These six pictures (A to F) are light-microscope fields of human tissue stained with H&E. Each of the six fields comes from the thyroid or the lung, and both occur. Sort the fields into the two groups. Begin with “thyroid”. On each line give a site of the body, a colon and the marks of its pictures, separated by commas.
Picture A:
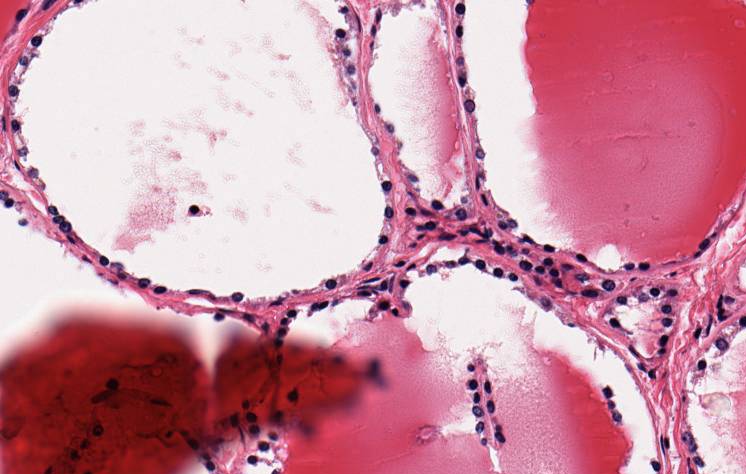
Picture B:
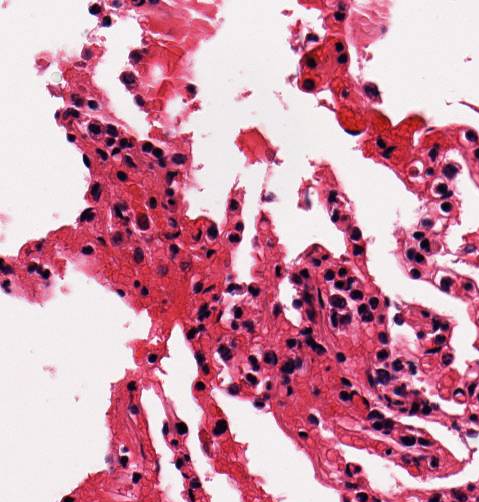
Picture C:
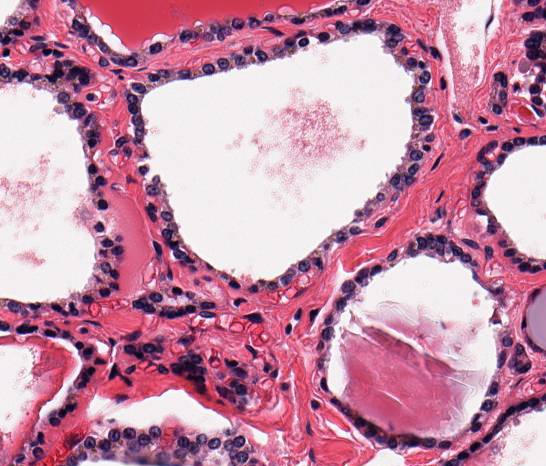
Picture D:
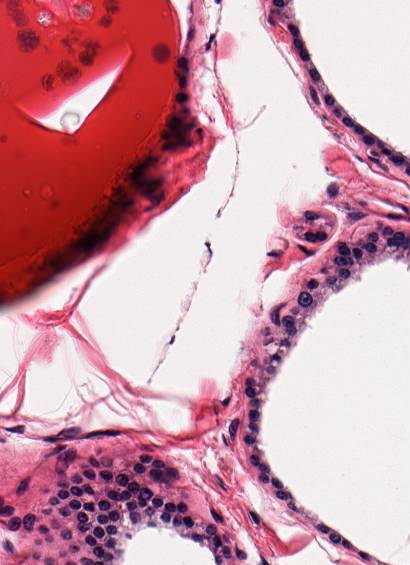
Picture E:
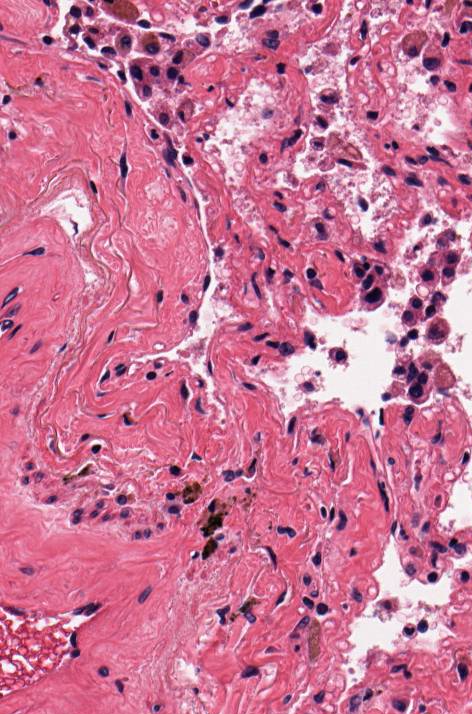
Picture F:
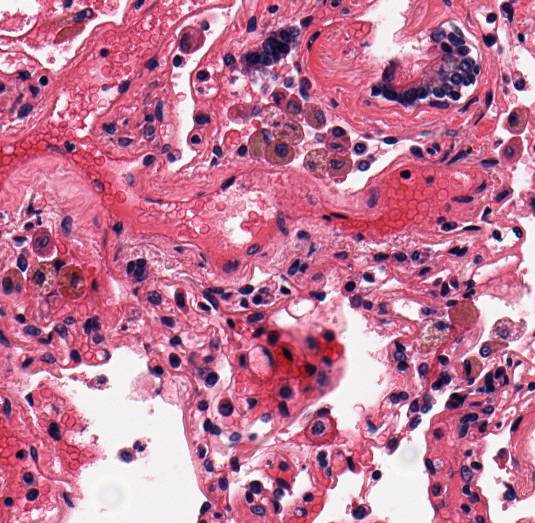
thyroid: A, C, D
lung: B, E, F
